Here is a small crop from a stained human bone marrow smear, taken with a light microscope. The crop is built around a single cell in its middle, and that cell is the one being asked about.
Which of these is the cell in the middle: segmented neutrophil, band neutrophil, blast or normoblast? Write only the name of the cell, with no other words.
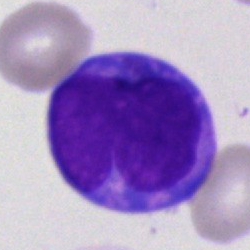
blast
